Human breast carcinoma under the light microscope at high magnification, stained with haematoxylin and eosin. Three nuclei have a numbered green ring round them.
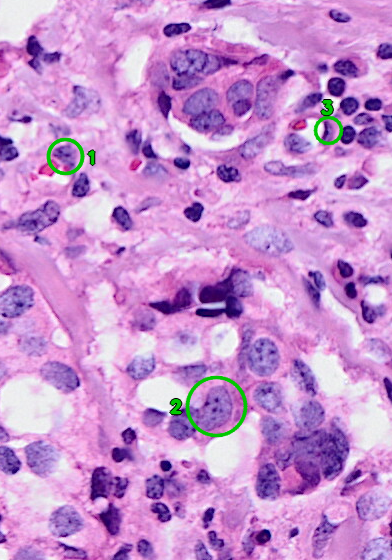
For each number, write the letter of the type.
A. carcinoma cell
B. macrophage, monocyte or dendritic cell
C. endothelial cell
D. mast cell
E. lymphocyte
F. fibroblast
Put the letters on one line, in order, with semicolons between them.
C; A; C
